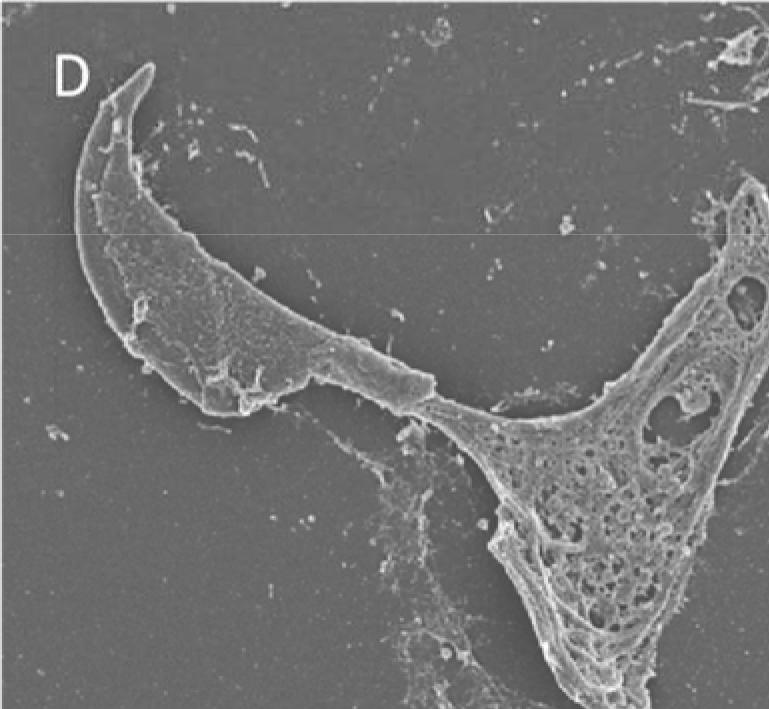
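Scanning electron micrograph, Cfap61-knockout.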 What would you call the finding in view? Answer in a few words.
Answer: Reticular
